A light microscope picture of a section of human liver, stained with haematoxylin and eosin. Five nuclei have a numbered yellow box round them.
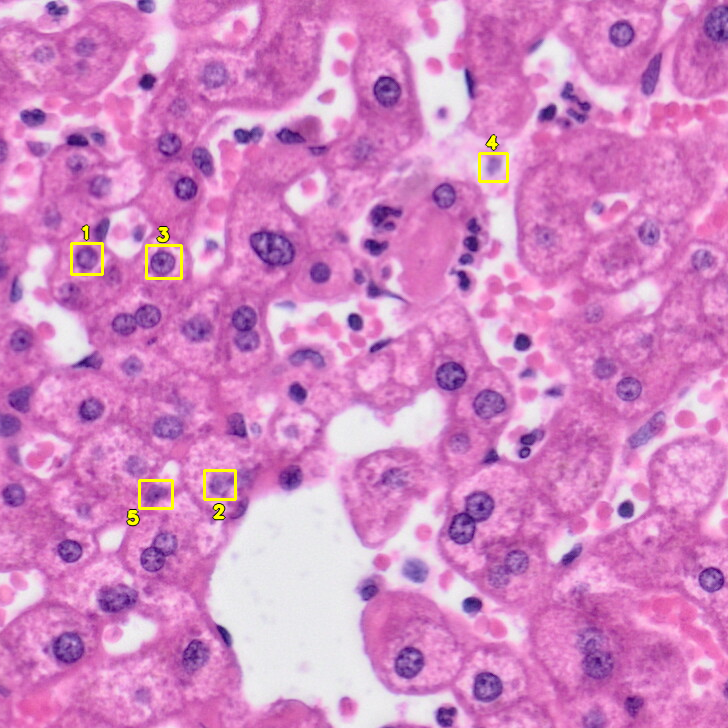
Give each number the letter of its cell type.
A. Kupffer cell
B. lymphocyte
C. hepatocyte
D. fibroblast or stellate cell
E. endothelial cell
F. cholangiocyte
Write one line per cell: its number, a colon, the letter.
1: C
2: C
3: C
4: A
5: E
